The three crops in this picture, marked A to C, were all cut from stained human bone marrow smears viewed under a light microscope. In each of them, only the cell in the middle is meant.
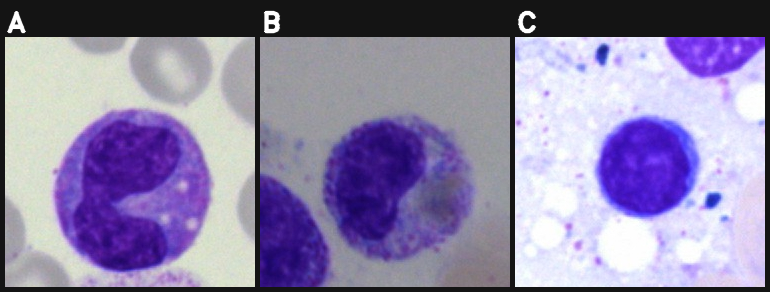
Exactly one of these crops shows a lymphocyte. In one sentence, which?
It is the cell in crop C that is a lymphocyte.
